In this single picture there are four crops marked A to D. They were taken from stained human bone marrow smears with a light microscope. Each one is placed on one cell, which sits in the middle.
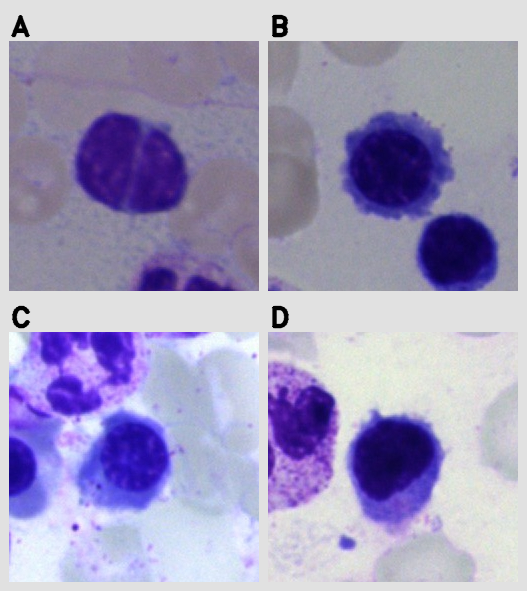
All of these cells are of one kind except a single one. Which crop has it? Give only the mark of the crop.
A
